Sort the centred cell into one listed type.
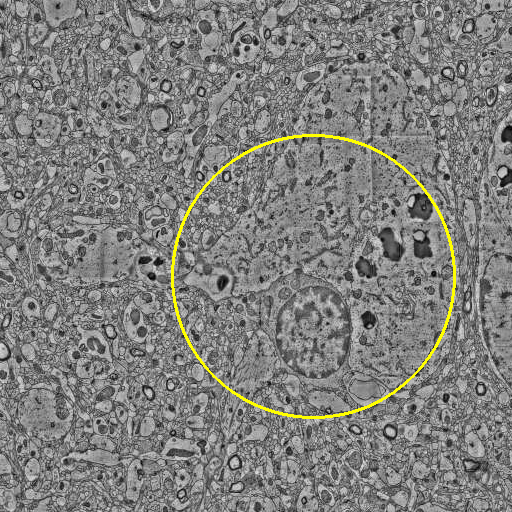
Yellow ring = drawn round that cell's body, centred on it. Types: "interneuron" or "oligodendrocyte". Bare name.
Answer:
oligodendrocyte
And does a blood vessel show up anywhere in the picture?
No.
